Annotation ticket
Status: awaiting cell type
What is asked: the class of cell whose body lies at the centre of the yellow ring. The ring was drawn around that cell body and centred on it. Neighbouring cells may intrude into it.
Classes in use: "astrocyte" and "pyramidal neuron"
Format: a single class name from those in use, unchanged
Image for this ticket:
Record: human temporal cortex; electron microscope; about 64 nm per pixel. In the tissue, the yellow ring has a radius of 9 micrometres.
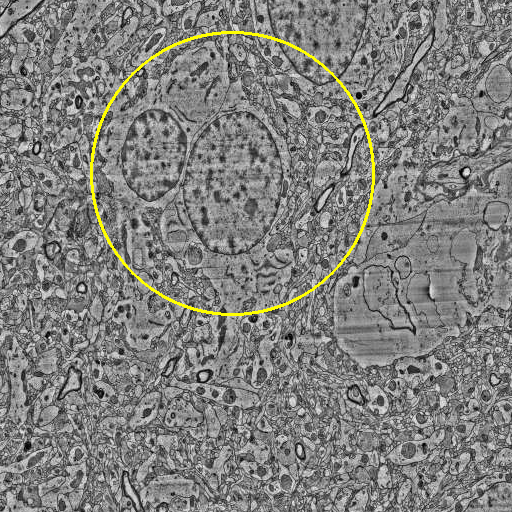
astrocyte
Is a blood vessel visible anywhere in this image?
Yes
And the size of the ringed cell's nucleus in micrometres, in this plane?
The ringed cell's nucleus is about 9 micrometres long and 7 micrometres wide in this plane.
